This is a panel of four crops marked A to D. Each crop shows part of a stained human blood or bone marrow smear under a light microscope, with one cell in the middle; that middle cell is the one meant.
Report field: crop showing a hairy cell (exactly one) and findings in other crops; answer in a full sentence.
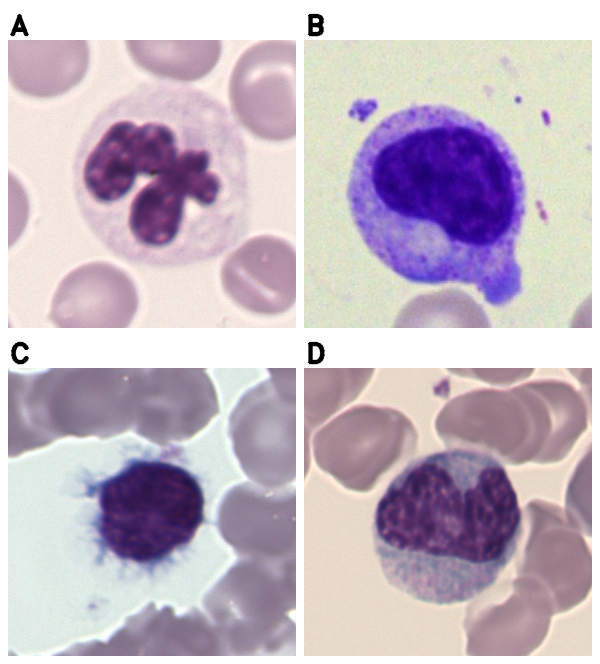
Crop C counts as a hairy cell, while crop A is a segmented neutrophil, crop B is a metamyelocyte and crop D is a monocyte.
